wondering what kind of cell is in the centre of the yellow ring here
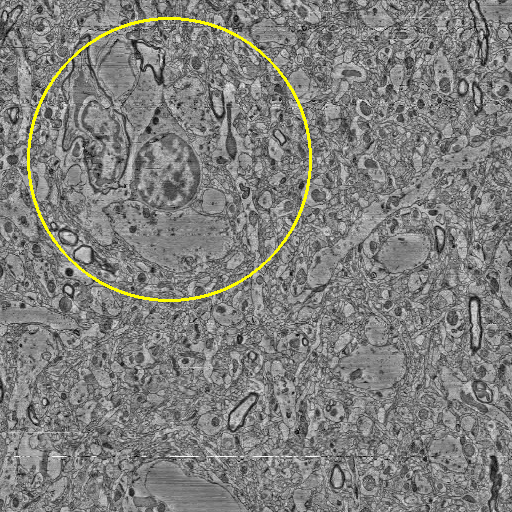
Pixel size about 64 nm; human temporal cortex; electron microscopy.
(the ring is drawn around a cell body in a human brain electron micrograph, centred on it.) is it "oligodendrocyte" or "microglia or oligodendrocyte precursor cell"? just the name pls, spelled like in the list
oligodendrocyte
